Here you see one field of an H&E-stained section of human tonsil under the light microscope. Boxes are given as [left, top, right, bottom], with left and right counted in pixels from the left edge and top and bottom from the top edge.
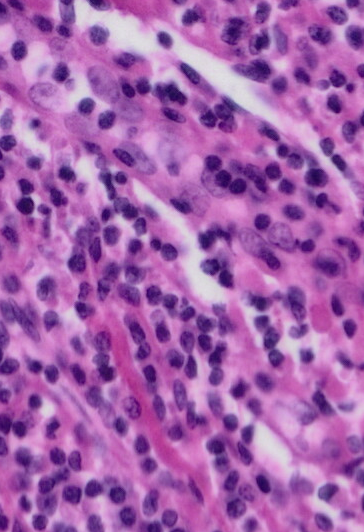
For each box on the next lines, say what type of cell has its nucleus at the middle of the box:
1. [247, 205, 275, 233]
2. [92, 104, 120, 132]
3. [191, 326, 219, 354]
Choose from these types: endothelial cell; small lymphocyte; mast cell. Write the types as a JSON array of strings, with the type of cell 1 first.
["endothelial cell", "endothelial cell", "small lymphocyte"]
